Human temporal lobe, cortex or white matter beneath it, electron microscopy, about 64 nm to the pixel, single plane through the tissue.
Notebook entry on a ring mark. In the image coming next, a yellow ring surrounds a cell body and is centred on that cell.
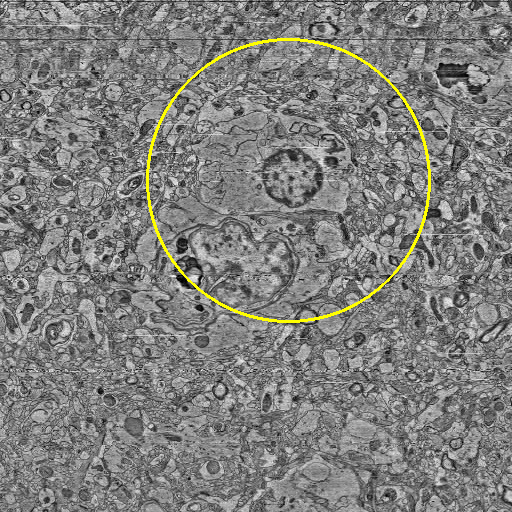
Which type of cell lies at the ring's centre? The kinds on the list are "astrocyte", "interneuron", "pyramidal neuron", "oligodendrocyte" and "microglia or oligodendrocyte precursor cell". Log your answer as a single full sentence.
Centred in the yellow ring is an astrocyte, the cell recorded for this image.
